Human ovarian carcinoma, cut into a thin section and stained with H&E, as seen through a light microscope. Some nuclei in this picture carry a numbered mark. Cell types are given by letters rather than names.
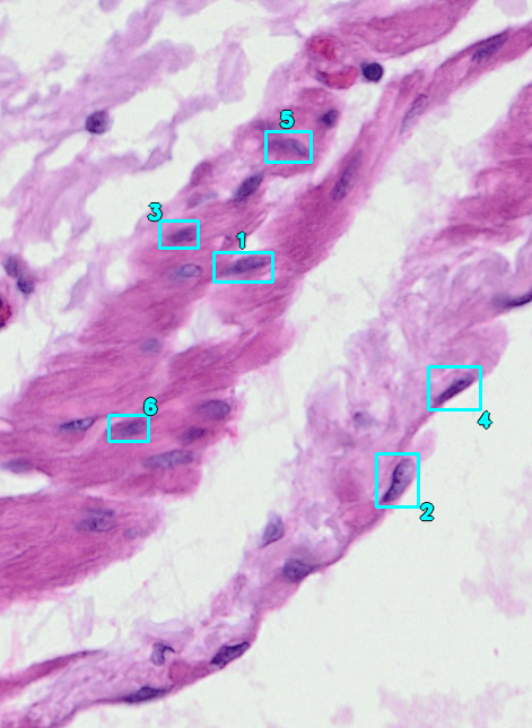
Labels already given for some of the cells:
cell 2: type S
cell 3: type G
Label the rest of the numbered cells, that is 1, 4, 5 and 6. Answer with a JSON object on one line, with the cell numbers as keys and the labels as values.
{"1": "type G", "4": "type S", "5": "type G", "6": "type G"}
